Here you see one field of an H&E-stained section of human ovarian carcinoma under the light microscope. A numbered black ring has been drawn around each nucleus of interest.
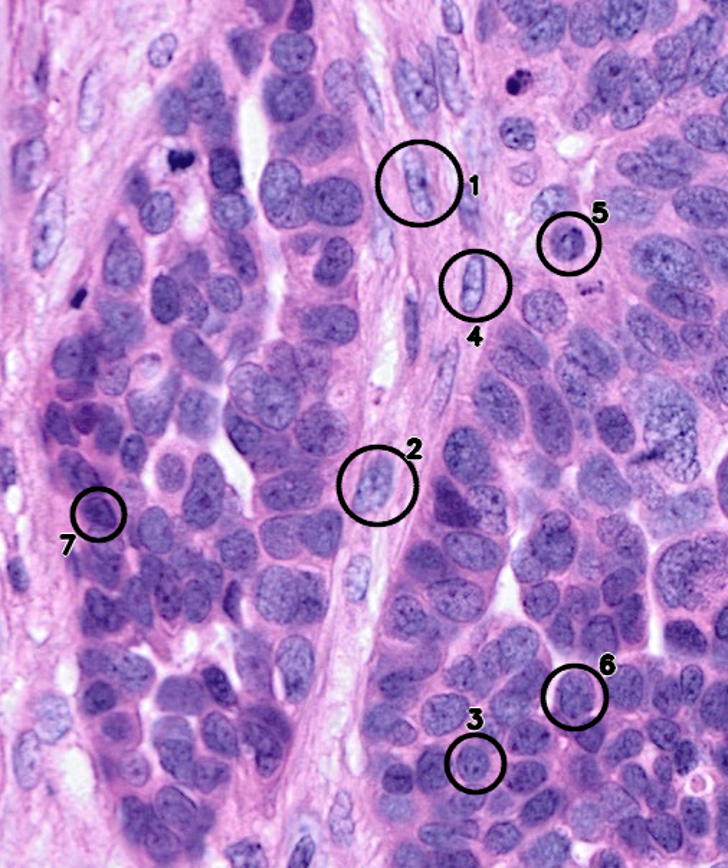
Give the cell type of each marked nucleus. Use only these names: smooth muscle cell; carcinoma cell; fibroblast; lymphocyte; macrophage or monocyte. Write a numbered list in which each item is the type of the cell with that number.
1. fibroblast
2. fibroblast
3. carcinoma cell
4. fibroblast
5. macrophage or monocyte
6. carcinoma cell
7. carcinoma cell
